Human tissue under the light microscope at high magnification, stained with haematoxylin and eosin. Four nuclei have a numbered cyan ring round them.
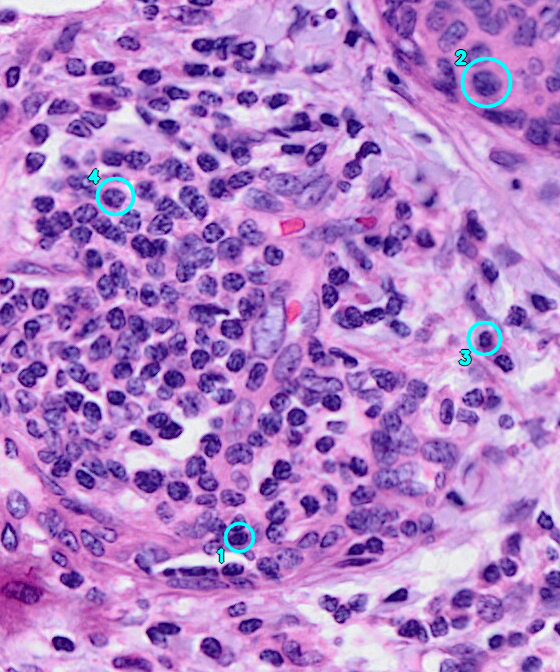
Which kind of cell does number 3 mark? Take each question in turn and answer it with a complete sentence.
In the marked set, the cell given number 3 is a lymphocyte.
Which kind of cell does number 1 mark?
The nucleus labeled 1 belongs to a lymphocyte.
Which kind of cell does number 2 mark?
In this section, number 2 marks a squamous carcinoma cell.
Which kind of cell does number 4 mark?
Belonging to a lymphocyte is the nucleus that carries the number 4.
